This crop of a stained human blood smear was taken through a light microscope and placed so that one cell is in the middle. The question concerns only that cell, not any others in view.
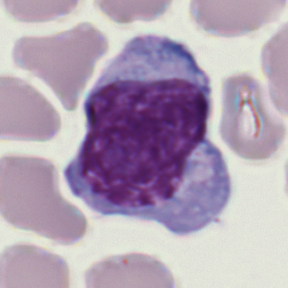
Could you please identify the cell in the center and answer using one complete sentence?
At the crop's centre, the cell is a plasma cell.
